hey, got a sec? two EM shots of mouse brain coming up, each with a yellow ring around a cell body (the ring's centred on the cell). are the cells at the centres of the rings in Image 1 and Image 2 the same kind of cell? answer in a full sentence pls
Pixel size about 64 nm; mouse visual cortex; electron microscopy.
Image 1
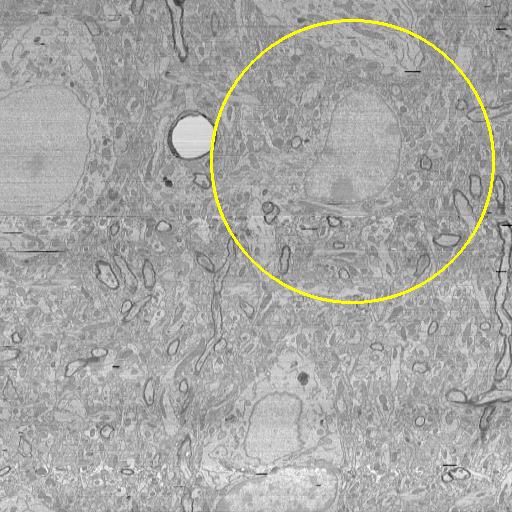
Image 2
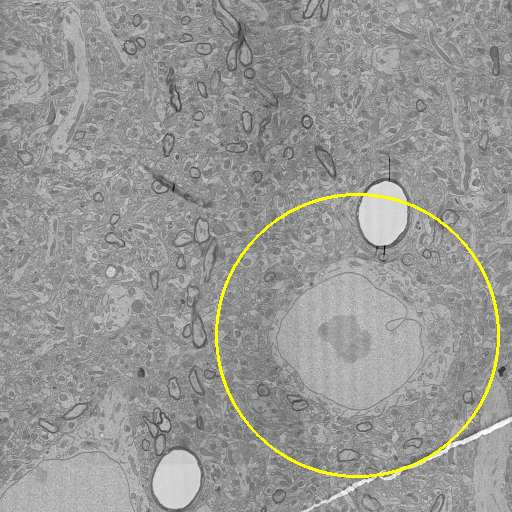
No, they are two kinds of cell.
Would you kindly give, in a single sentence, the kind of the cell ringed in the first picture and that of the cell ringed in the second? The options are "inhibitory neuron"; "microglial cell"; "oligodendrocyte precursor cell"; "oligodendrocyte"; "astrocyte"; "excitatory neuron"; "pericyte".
The second cell is an excitatory neuron, and the first cell is an astrocyte.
